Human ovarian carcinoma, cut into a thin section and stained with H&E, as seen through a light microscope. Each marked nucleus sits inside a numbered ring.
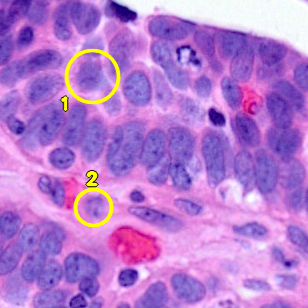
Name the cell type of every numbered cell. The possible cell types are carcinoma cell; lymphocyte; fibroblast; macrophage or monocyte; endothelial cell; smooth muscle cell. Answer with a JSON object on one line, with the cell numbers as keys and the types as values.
{"1": "carcinoma cell", "2": "fibroblast"}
